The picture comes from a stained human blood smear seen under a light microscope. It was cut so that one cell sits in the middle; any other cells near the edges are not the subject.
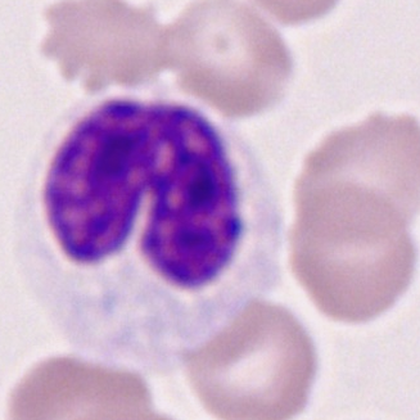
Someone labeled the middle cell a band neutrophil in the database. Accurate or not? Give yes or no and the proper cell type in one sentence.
Yes, the centrally placed cell is a band neutrophil.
